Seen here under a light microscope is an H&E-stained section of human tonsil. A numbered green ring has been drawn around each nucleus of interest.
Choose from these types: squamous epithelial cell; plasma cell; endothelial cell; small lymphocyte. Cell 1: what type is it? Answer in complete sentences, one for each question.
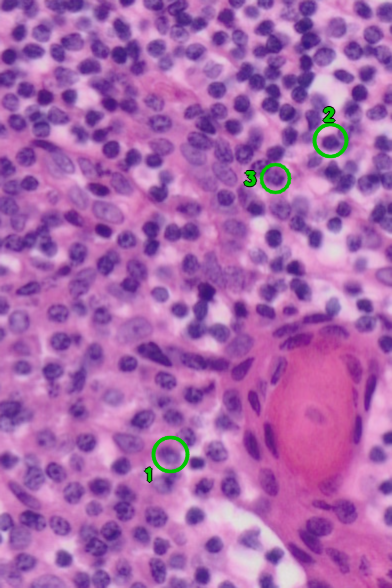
The cell pointed out by number 1 is a plasma cell.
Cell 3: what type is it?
Classified as a plasma cell is the cell with the number 3.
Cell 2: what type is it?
The mark numbered 2 indicates the nucleus of a small lymphocyte.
